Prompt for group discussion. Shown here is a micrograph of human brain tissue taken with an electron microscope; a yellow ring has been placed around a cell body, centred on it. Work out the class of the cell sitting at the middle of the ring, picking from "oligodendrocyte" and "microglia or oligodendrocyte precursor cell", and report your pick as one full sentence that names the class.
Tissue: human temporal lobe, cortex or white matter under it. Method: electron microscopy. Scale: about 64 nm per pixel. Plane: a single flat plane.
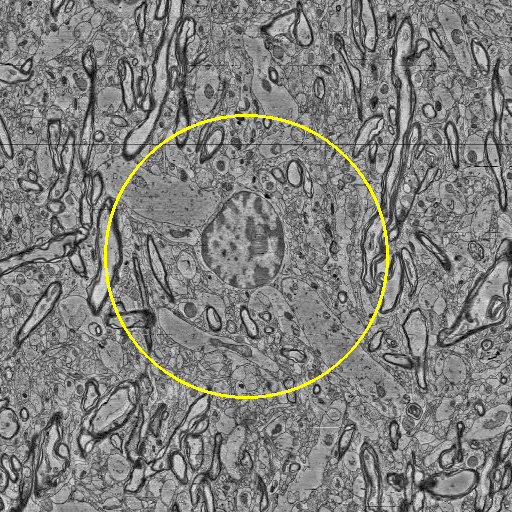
The cell sitting at the middle of the yellow ring is a microglial cell or oligodendrocyte precursor cell.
